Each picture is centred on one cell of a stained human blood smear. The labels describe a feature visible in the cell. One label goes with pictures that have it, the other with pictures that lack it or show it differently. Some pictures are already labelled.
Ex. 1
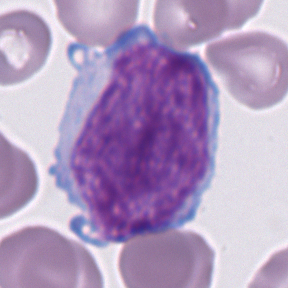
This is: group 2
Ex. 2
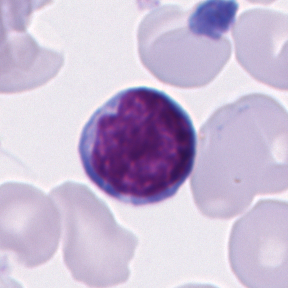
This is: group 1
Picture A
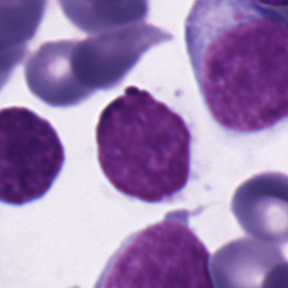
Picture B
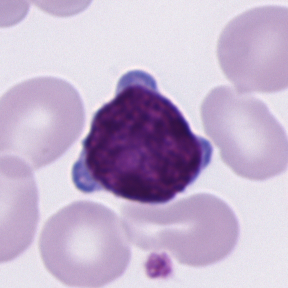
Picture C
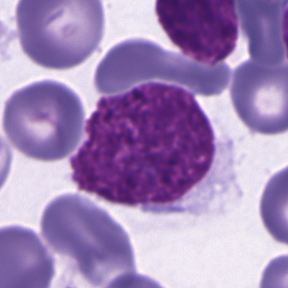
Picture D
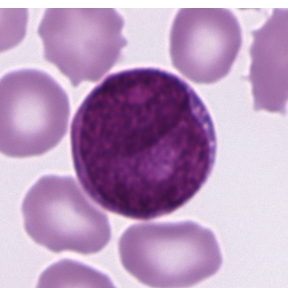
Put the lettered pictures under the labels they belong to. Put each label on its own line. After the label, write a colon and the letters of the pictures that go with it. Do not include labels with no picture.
group 2: A, B, C
group 1: D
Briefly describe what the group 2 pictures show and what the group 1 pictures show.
group 2: ragged outline or projections; group 1: smooth outline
